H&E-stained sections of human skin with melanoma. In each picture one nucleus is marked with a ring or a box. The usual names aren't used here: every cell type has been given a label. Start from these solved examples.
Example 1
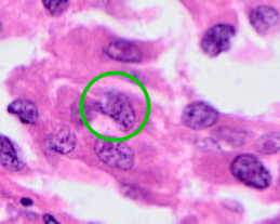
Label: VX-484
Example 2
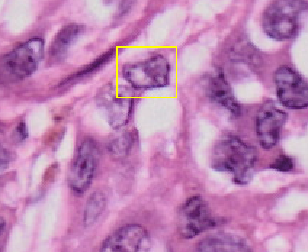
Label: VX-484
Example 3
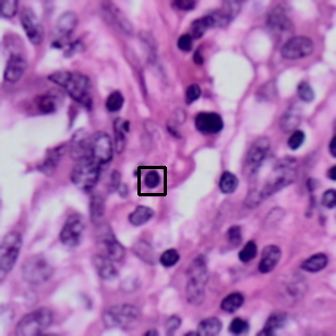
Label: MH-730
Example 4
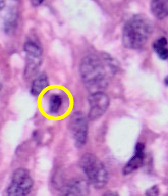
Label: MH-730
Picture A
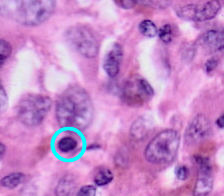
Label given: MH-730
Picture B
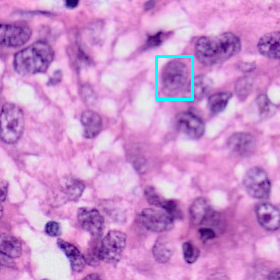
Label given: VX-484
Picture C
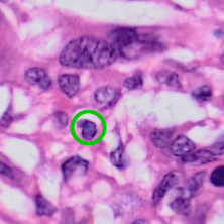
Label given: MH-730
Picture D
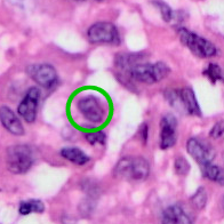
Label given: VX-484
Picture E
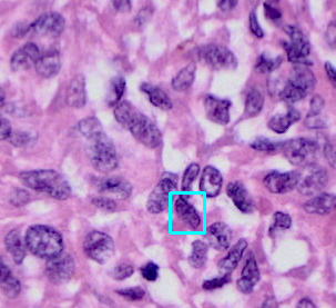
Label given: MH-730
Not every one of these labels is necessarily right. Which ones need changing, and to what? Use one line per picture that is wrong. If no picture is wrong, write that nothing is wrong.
Wrong: E (MH-730); correct: VX-484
